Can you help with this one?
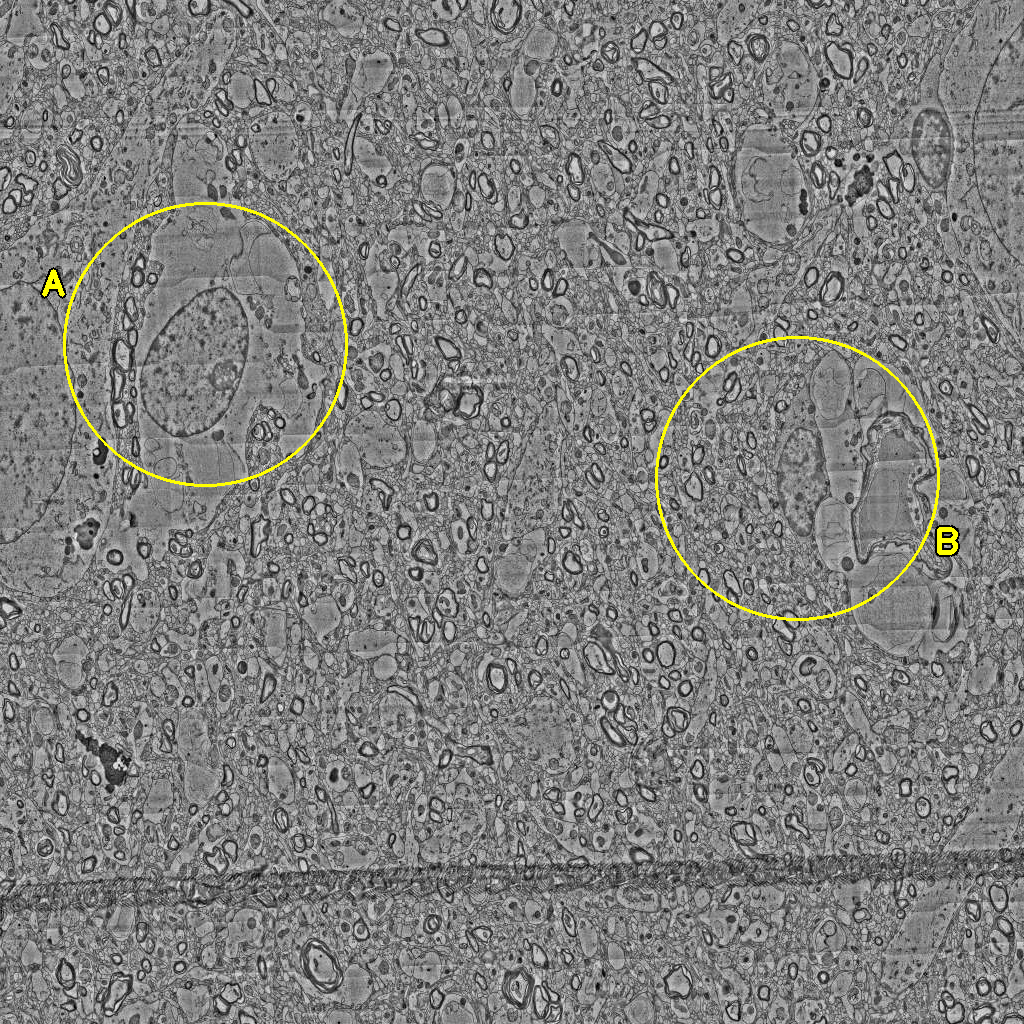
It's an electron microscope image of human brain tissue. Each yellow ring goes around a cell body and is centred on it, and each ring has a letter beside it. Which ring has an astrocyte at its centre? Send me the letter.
A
